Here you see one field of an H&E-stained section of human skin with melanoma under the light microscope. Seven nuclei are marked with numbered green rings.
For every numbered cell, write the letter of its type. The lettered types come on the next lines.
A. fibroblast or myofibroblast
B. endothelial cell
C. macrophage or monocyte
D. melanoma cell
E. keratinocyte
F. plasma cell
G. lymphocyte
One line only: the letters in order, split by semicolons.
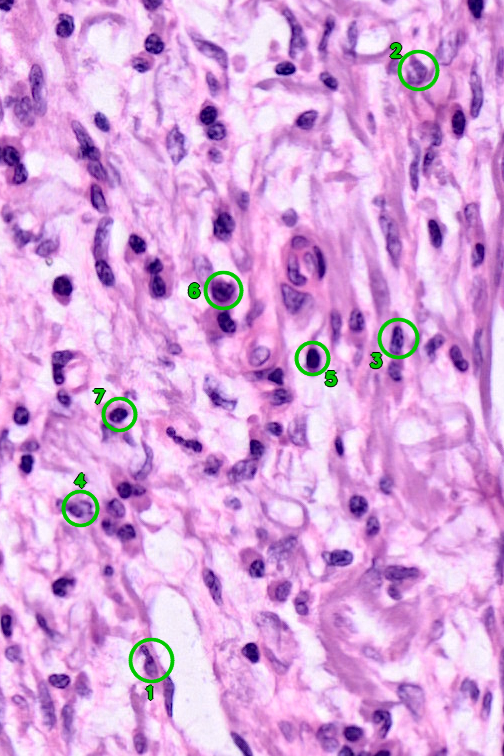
A; A; F; A; F; F; F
